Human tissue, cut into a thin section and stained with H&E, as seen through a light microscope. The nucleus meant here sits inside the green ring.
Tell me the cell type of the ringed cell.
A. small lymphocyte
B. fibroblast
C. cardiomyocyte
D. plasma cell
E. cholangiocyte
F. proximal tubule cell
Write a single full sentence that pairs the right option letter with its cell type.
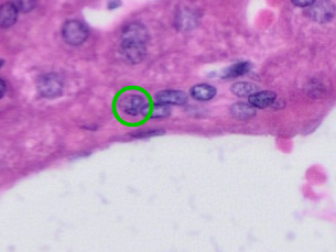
Option E is the right one; the ringed cell is a cholangiocyte.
